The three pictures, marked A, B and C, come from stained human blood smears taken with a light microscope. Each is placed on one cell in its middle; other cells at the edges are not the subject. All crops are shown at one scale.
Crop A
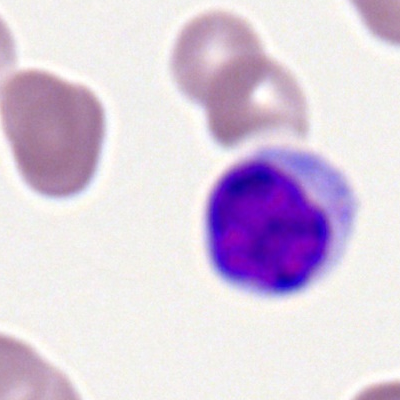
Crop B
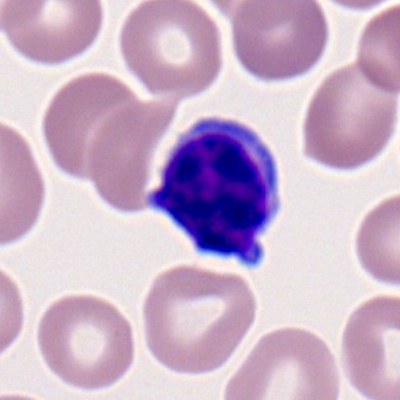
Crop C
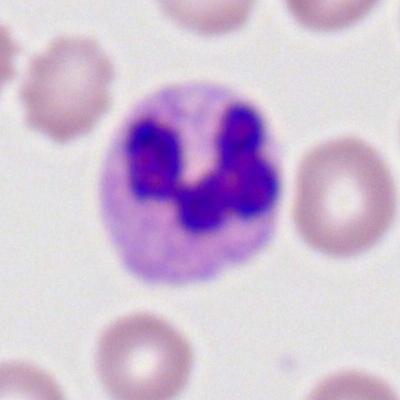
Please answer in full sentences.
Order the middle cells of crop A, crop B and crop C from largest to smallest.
Largest first: C, A, B.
